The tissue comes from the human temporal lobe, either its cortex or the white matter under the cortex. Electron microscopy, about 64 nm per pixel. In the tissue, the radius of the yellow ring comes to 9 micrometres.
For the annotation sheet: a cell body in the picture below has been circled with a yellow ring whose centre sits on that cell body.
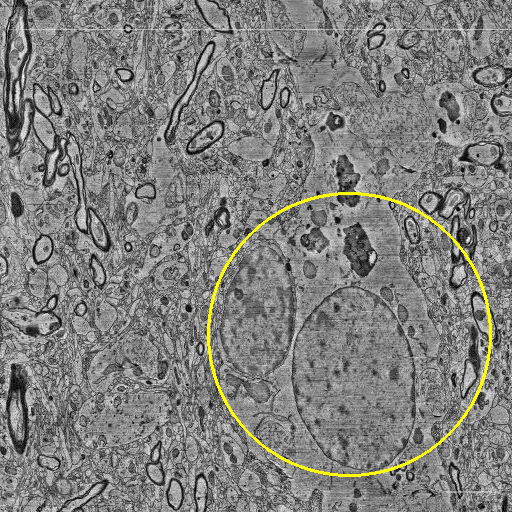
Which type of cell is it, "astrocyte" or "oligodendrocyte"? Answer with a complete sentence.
The circled cell is an astrocyte.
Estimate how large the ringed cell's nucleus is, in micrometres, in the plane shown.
Approximately 12 by 8 micrometers, which makes the nucleus clearly longer than it is wide in this plane.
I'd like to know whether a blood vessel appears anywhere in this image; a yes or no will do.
Yes, a vessel shows somewhere in the image.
